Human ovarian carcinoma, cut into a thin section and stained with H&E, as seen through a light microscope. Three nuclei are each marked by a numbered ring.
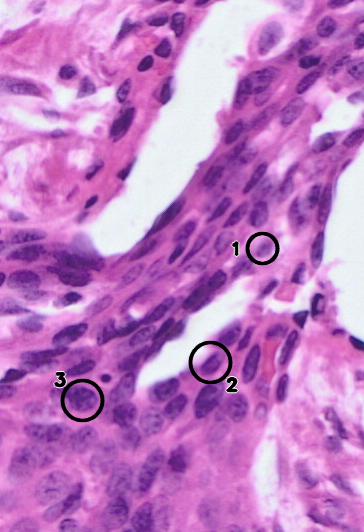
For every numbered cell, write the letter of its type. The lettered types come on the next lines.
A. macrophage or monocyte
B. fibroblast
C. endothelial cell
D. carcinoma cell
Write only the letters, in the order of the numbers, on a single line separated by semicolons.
A; D; D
